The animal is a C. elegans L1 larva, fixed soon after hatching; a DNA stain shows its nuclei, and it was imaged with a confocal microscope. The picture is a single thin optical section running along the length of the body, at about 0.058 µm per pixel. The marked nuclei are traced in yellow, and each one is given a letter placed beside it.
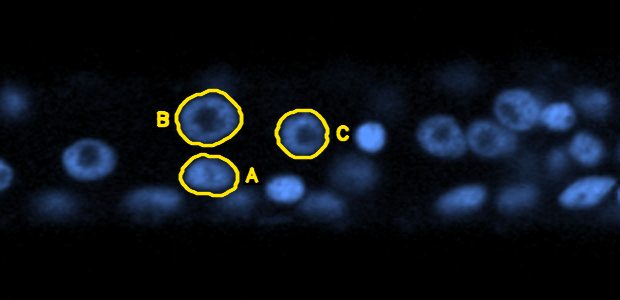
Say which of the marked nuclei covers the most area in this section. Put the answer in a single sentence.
B has the largest area in this section.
